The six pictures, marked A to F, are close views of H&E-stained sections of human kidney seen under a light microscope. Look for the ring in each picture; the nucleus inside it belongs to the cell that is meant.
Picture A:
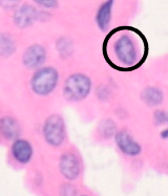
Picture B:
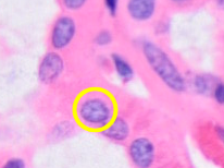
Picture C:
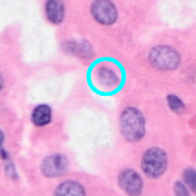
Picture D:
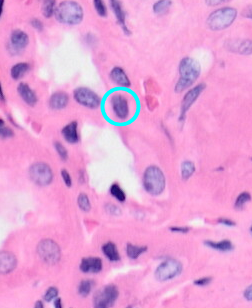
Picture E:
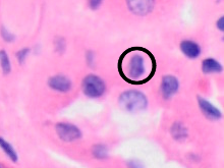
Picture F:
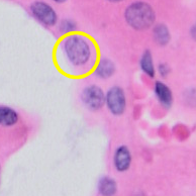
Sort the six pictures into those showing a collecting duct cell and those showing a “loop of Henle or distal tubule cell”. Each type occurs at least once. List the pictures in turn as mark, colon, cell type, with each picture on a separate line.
A: loop of Henle or distal tubule cell
B: loop of Henle or distal tubule cell
C: loop of Henle or distal tubule cell
D: collecting duct cell
E: loop of Henle or distal tubule cell
F: collecting duct cell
